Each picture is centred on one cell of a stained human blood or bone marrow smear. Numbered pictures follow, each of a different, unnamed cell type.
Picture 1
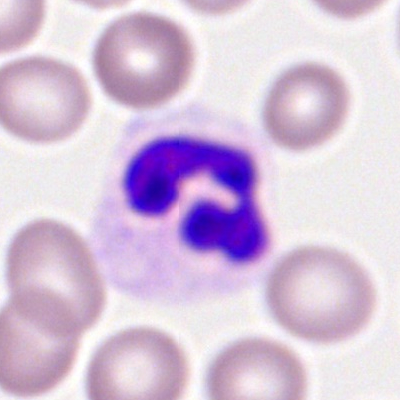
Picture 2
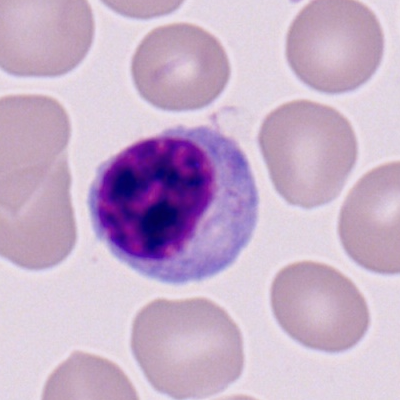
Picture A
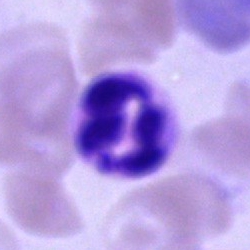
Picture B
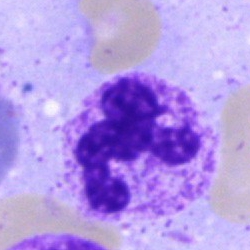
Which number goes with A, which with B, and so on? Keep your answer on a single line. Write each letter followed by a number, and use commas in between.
A 1, B 1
